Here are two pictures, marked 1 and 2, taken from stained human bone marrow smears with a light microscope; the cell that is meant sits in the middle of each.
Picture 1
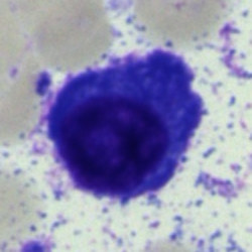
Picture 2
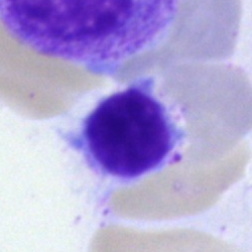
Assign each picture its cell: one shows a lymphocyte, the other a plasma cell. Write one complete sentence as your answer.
Picture 1 shows a plasma cell and picture 2 shows a lymphocyte.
